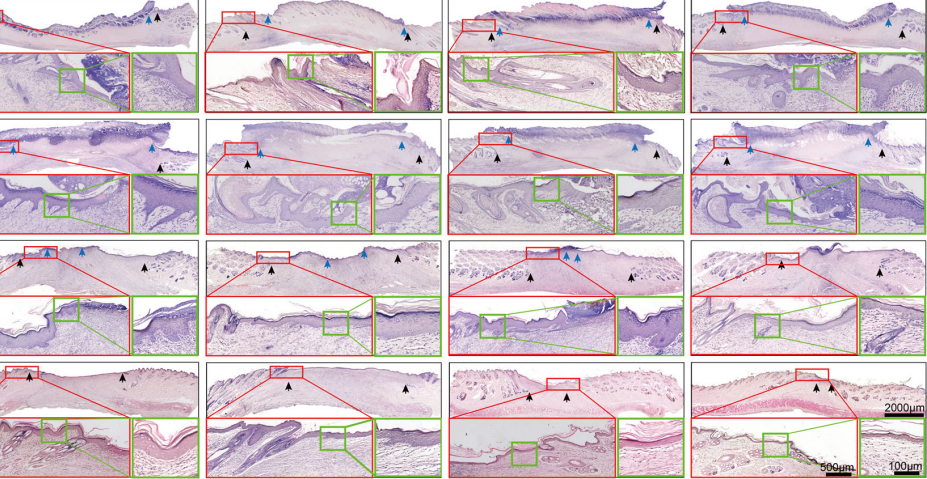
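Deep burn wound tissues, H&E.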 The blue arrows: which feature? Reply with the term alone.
Front edges of the migrated epithelial tongues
